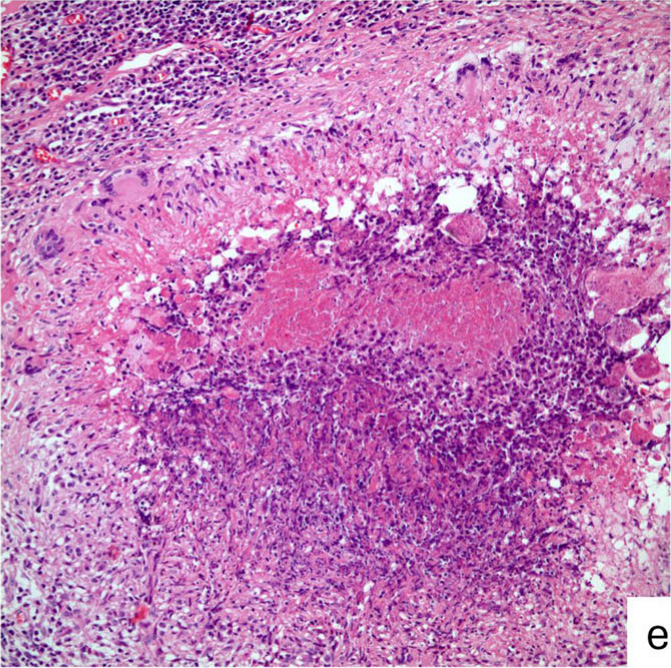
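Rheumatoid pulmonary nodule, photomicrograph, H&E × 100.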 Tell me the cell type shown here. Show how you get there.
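Large cells with abundant pink cytoplasm and several nuclei lie around the necrotic centre, at its upper and right edges. So: multinucleated giant cells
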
